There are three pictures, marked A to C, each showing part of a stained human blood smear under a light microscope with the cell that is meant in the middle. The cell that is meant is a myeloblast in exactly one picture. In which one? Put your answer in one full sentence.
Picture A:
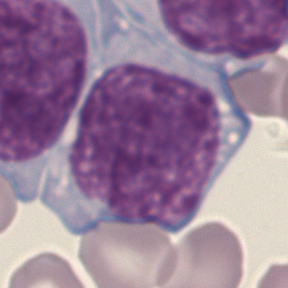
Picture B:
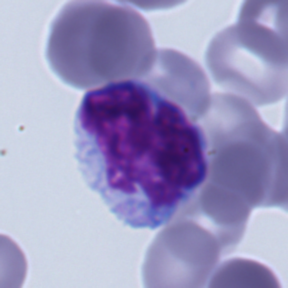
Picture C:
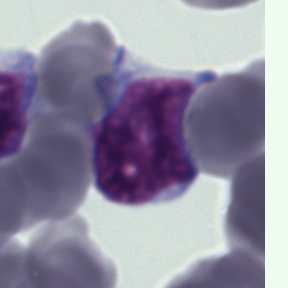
The picture with the myeloblast is A.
